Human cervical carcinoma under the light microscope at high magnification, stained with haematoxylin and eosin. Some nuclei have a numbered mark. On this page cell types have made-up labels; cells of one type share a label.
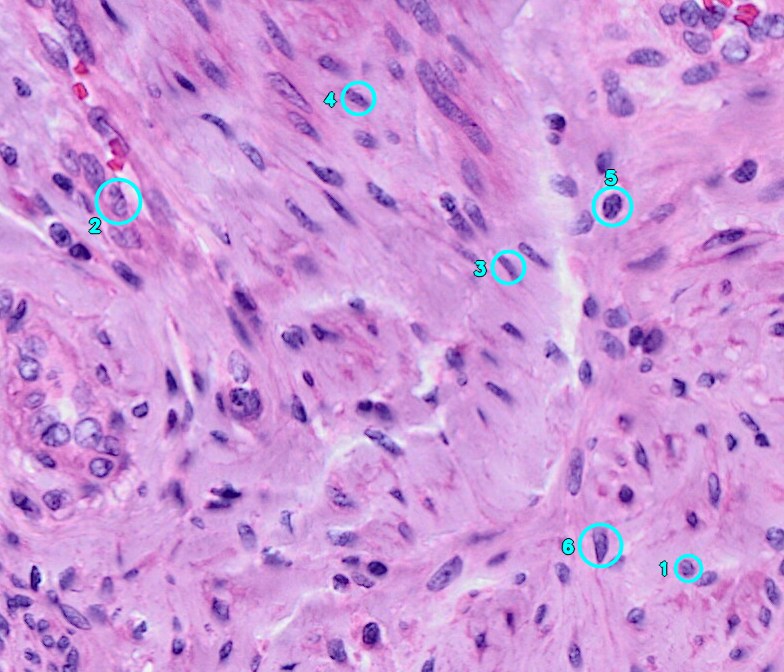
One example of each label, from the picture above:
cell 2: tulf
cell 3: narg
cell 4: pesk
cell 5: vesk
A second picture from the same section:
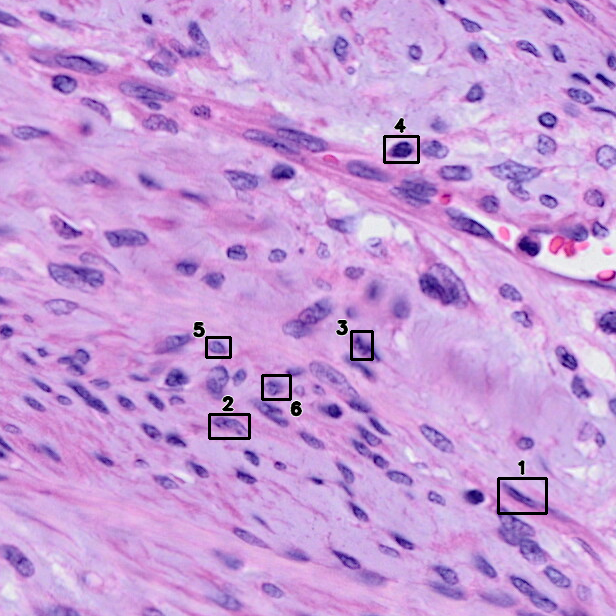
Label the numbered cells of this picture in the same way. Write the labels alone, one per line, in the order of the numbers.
tulf
pesk
narg
vesk
pesk
pesk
